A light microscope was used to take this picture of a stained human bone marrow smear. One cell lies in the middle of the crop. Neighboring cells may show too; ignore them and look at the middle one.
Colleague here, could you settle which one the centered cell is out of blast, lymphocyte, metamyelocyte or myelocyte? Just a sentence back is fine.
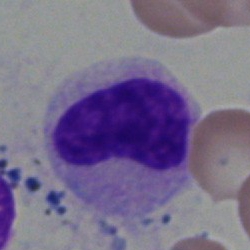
At the center of the crop sits a metamyelocyte.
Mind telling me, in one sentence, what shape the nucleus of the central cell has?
The nuclear material is gathered into one compact round, oval or kidney-shaped mass.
